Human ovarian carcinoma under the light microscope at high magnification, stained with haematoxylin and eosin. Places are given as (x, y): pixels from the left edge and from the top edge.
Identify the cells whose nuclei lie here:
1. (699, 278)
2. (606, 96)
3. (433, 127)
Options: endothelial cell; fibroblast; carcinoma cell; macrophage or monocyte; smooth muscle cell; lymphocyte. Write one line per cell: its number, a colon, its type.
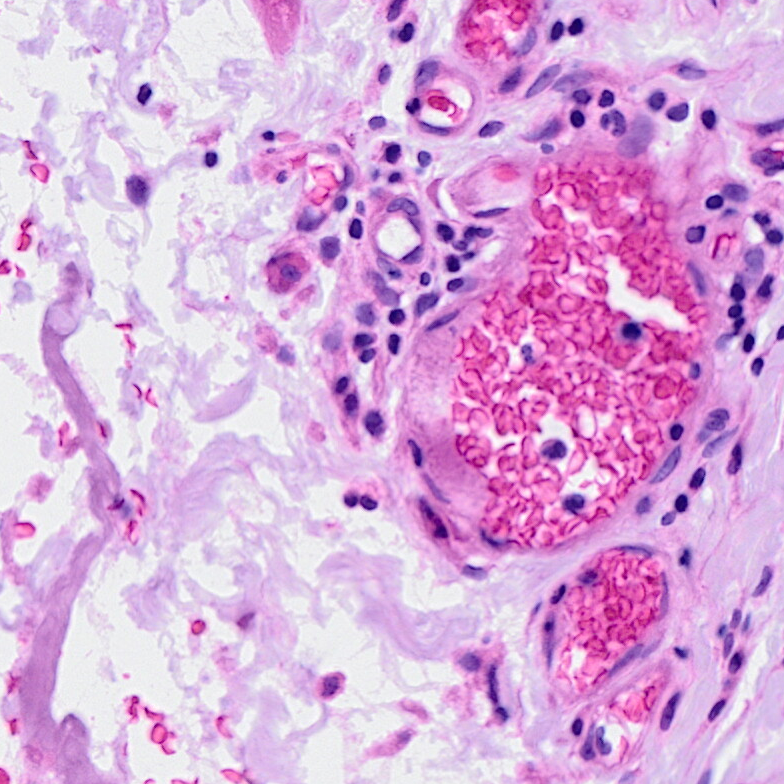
1: endothelial cell
2: lymphocyte
3: endothelial cell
